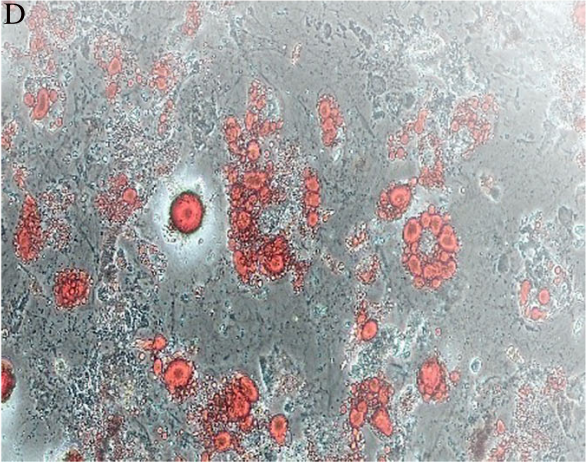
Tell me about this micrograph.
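The droplets vary in size: some cells hold a few large round droplets, others clusters of small ones arranged in rosettes around a paler centre. These fat-laden cells lie scattered and in groups across the field. One rounded cell filled with red is set off by a bright halo. Small grey debris is scattered over the layer.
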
